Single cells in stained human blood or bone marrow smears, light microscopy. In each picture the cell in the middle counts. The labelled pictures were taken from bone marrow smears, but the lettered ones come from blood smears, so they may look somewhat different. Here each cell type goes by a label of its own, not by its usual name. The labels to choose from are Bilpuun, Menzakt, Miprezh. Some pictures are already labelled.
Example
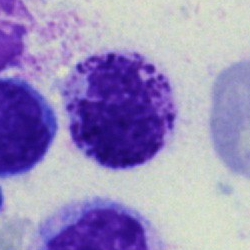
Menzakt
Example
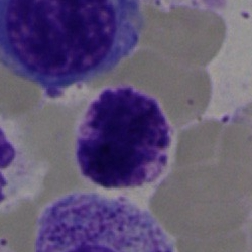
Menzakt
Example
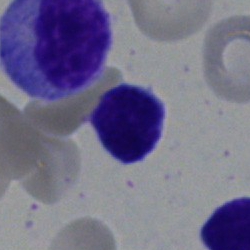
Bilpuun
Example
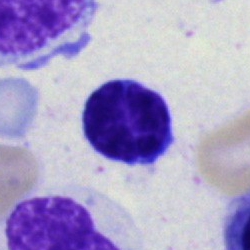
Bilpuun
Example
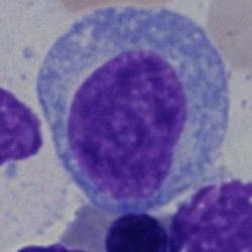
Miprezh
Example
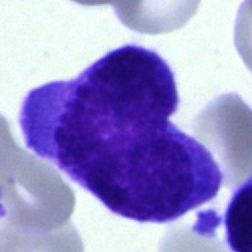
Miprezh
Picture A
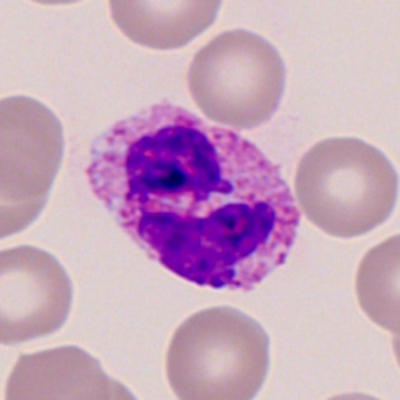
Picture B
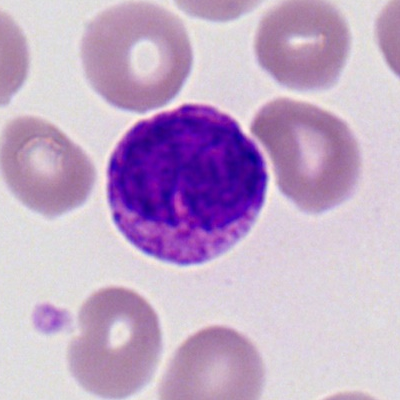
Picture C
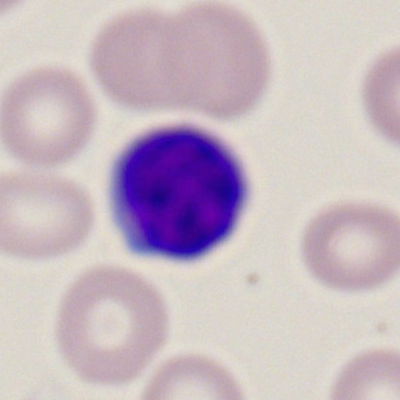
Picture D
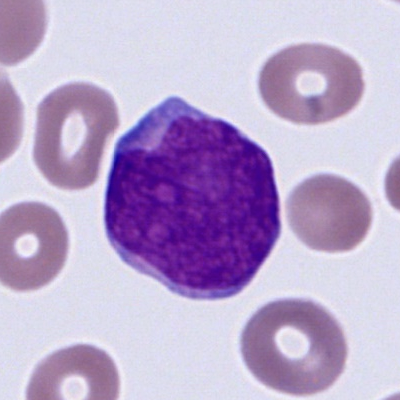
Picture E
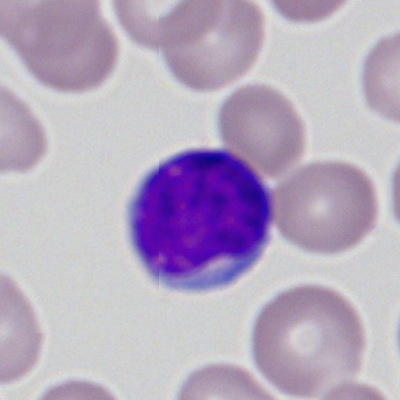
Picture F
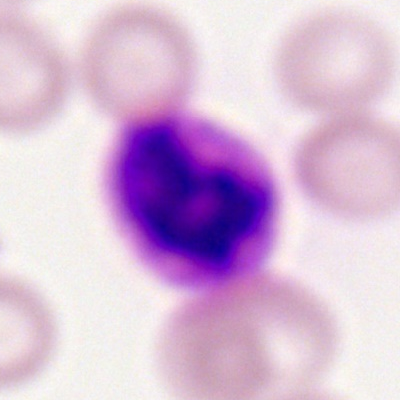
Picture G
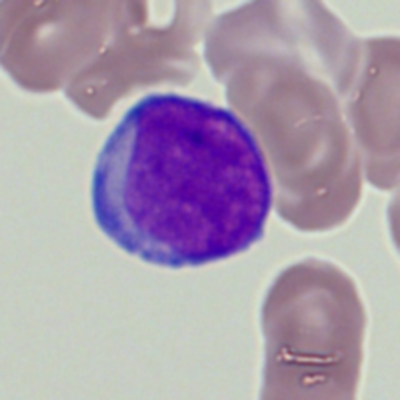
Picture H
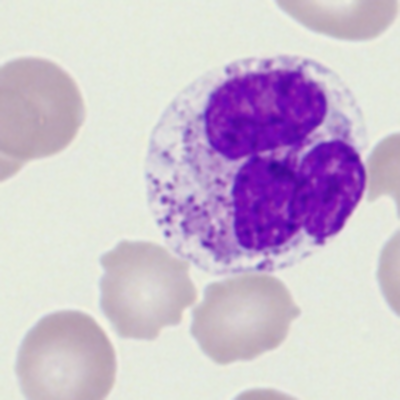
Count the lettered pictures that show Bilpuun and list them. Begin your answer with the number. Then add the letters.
2: C, E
